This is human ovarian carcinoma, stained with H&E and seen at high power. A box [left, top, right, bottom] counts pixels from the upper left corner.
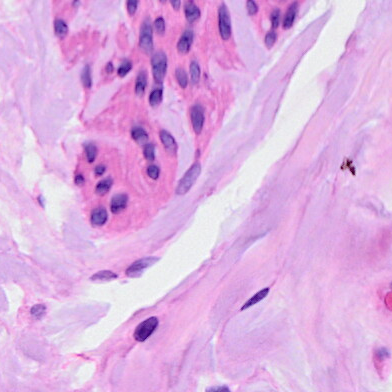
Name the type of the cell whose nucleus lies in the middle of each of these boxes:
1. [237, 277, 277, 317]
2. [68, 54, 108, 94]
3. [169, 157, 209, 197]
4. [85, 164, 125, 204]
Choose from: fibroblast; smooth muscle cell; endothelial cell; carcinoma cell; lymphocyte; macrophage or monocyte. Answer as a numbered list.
1. fibroblast
2. smooth muscle cell
3. smooth muscle cell
4. smooth muscle cell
